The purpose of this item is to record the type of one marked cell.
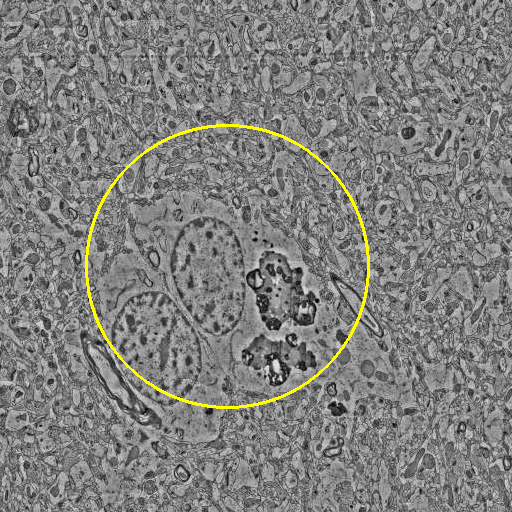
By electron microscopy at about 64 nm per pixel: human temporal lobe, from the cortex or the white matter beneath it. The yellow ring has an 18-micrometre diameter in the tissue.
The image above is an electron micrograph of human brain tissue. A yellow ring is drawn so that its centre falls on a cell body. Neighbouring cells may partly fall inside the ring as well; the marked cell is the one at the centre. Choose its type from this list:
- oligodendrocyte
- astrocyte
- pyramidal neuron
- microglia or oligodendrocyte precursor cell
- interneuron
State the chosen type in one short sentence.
What the ring marks here is an astrocyte.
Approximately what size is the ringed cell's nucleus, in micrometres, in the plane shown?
In this plane the nucleus measures about 7 by 5 micrometres and is clearly longer than it is wide.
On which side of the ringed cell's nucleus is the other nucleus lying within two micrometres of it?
That other nucleus is to the lower left of it.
